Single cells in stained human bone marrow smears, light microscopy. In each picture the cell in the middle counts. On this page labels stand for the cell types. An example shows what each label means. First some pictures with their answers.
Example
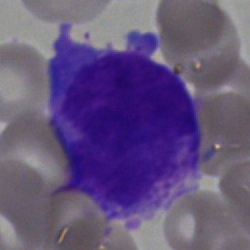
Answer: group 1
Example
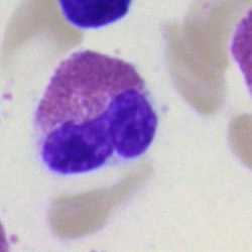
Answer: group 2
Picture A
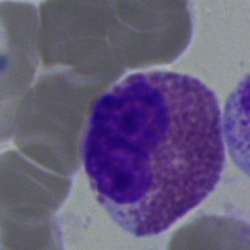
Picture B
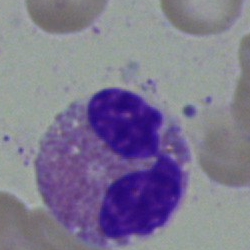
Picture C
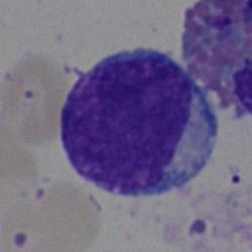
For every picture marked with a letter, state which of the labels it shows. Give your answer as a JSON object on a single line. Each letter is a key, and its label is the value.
{"A": "group 2", "B": "group 2", "C": "group 1"}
